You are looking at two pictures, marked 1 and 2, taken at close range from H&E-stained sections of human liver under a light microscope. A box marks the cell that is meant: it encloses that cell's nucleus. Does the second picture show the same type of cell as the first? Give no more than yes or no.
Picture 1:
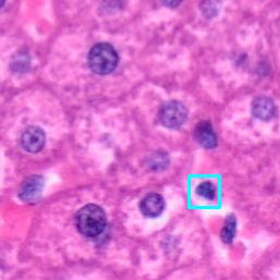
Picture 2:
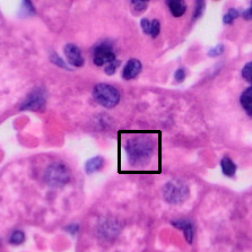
no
